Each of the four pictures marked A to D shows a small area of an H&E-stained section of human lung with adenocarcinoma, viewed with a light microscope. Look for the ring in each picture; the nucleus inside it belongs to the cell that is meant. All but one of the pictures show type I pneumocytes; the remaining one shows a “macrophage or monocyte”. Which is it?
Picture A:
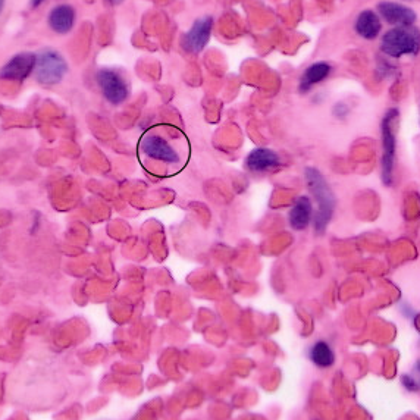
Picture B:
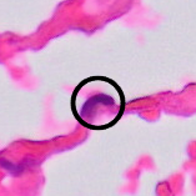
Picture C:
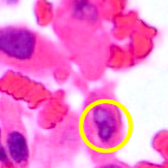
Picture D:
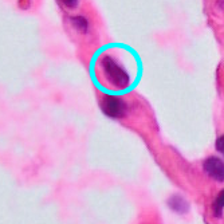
C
